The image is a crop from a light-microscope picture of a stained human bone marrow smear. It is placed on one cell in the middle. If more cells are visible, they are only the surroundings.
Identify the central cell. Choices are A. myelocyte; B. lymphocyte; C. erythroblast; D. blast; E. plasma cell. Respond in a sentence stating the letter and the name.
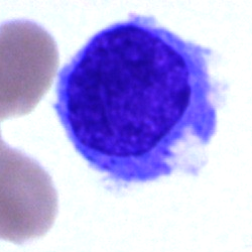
Option D is accurate; the centrally placed cell is a blast.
